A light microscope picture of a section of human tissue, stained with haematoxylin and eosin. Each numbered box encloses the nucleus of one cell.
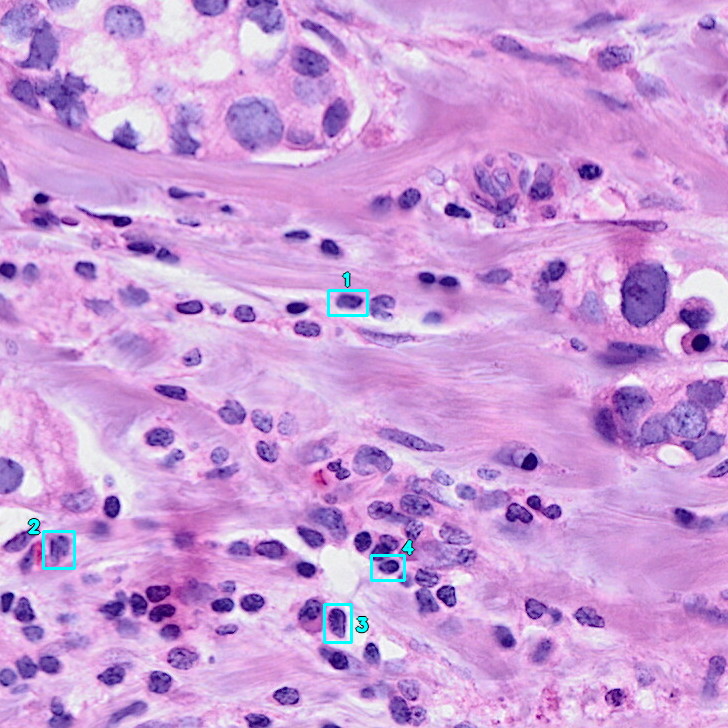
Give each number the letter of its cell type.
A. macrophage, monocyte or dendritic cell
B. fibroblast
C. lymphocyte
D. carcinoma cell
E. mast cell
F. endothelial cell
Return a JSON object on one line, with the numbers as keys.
{"1": "C", "2": "F", "3": "C", "4": "C"}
